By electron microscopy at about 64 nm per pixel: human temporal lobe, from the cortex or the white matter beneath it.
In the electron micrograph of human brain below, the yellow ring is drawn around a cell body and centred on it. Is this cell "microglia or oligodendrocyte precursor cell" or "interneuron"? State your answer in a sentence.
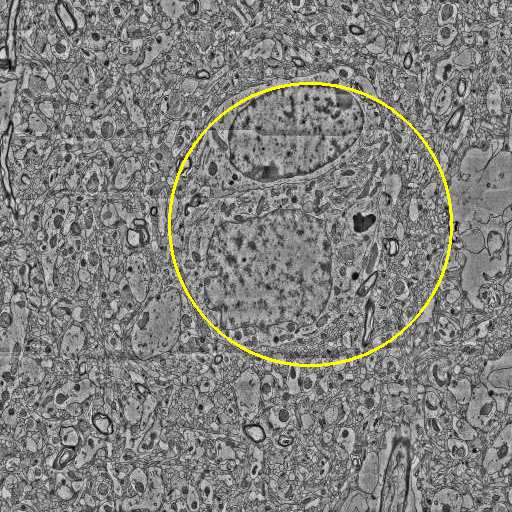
The cell in the middle of the ring is an interneuron.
